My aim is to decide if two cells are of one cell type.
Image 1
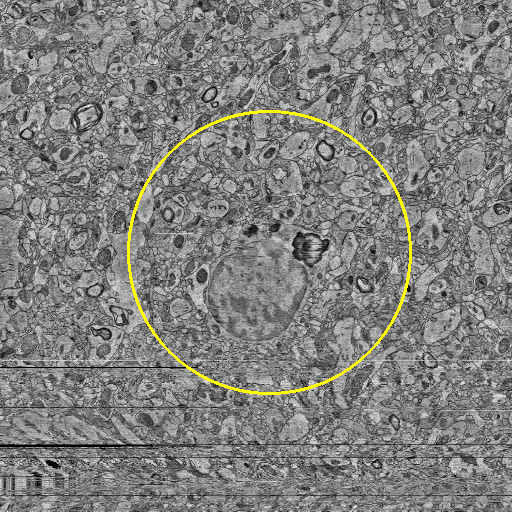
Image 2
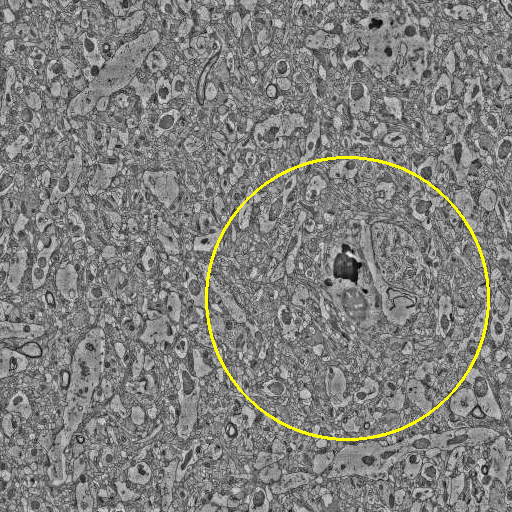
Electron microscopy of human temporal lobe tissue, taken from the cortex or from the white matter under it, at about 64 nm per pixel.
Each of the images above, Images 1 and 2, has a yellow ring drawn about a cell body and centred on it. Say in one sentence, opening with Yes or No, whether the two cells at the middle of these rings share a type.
Yes, in Images 1 and 2 the cells at the middle of the rings share one type.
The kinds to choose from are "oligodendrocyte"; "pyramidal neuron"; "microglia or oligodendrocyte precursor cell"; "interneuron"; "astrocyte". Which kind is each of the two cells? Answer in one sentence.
Both rings mark an oligodendrocyte, one in each picture.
